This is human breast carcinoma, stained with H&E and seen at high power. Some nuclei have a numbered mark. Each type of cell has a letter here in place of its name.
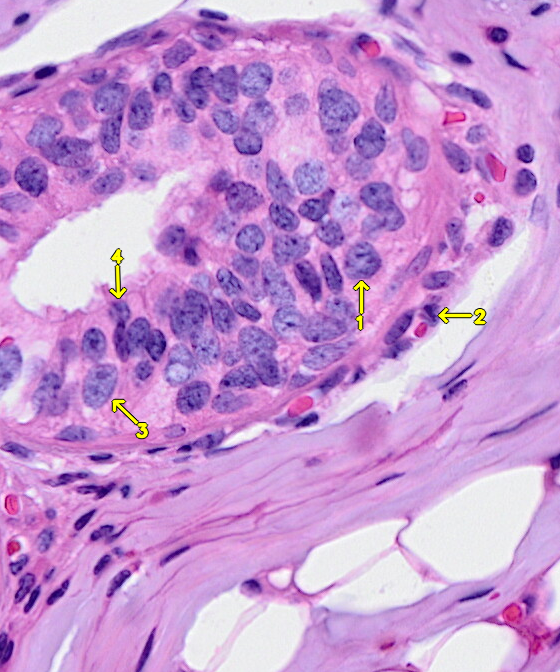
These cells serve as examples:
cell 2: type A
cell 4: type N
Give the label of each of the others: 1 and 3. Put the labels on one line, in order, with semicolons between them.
type N; type N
